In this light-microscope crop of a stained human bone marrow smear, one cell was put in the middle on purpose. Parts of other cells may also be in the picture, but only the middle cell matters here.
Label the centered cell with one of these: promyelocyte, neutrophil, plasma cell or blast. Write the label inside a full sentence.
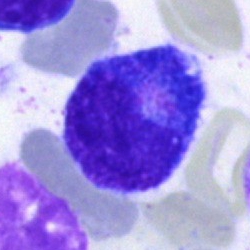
Regarding the central cell, it is a promyelocyte.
